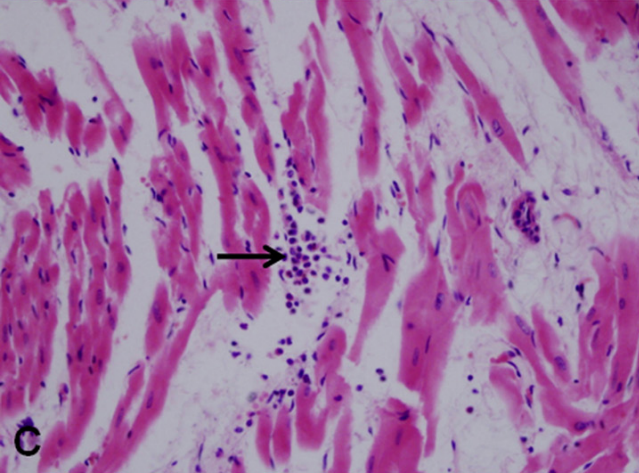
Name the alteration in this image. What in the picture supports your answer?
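Interstitial edema. Pink muscle fibers are widely separated by pale, empty-looking spaces.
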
